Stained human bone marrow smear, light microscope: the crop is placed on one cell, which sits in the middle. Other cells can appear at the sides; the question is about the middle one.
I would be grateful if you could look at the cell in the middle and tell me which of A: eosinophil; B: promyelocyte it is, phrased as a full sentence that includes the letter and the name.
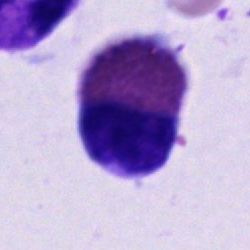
Well, the cell in the middle is an eosinophil, making option A right.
